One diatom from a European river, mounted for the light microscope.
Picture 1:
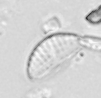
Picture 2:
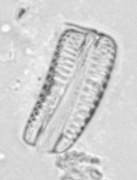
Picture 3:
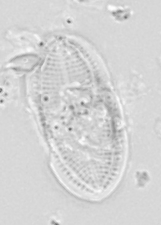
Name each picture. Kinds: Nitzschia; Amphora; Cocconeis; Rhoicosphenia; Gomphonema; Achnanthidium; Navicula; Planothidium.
1. Amphora
2. Rhoicosphenia
3. Cocconeis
